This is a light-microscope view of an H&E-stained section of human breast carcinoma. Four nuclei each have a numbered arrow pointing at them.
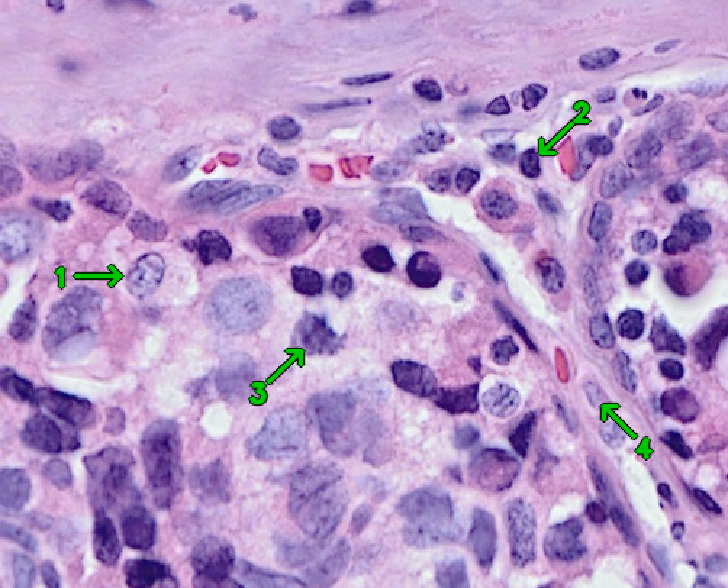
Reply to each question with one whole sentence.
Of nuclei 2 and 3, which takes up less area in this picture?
The smaller nucleus is 2, and 3 covers roughly 2 times its area.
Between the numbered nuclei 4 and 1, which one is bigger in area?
At about 4 times the area of nucleus 4, nucleus 1 is the larger of the two.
